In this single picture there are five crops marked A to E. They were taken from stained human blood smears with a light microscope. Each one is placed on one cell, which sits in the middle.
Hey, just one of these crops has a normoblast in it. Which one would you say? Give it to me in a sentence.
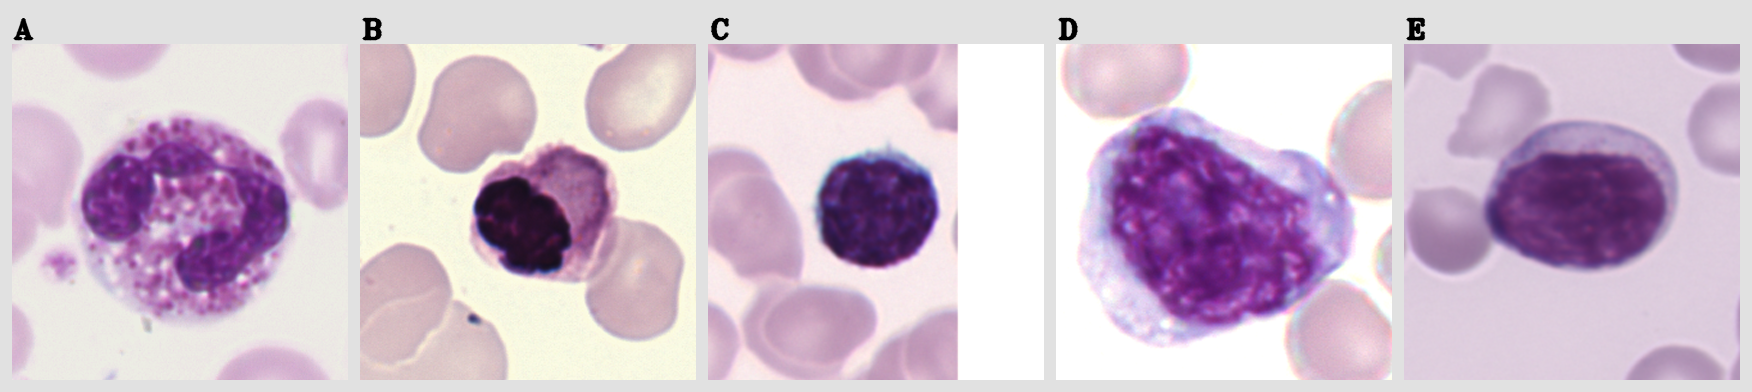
In this series, a normoblast is shown by crop B.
